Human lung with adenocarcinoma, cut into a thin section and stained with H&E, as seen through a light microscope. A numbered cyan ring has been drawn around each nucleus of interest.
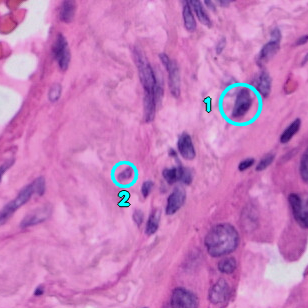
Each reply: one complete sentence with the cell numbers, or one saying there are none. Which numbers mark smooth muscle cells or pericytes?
Cell 2 is a smooth muscle cell or pericyte, whereas each of the other numbered cells is not.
